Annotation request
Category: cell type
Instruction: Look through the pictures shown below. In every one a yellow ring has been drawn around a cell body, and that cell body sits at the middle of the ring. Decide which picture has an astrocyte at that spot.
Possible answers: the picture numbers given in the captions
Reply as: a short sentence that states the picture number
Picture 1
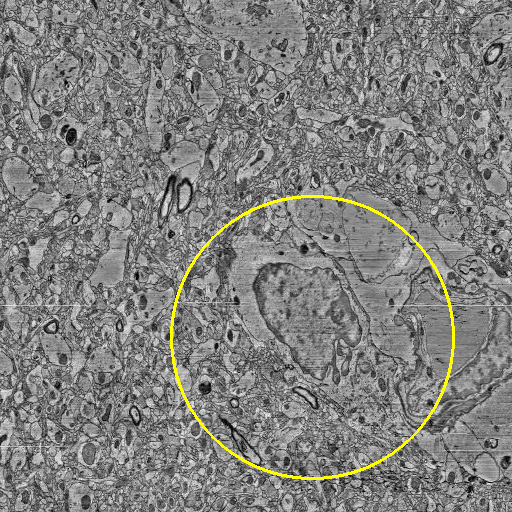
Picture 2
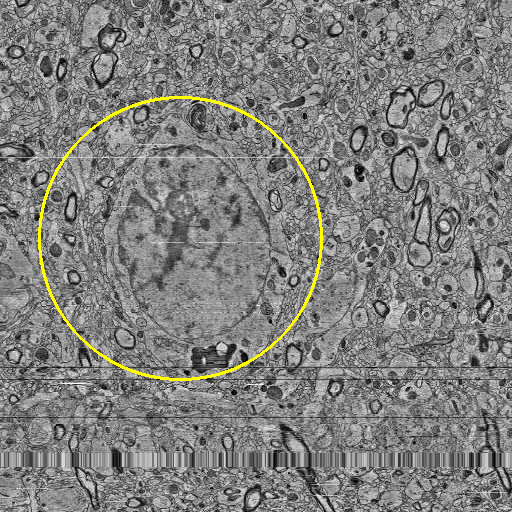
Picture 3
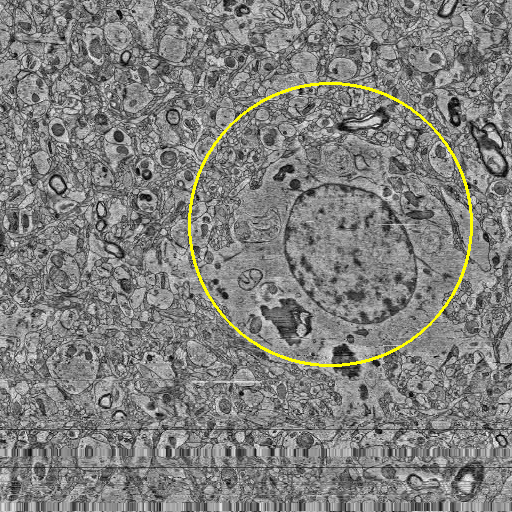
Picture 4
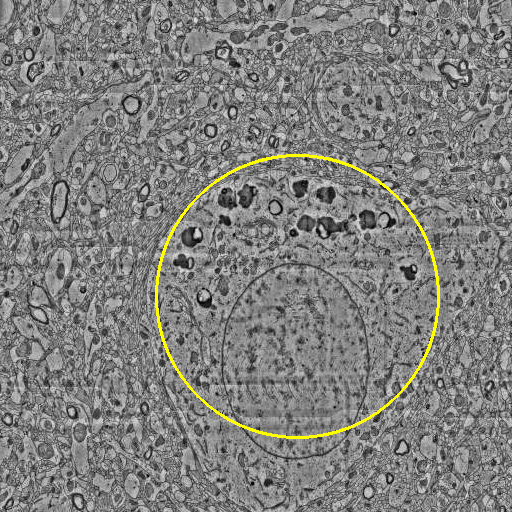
It is in Picture 3.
